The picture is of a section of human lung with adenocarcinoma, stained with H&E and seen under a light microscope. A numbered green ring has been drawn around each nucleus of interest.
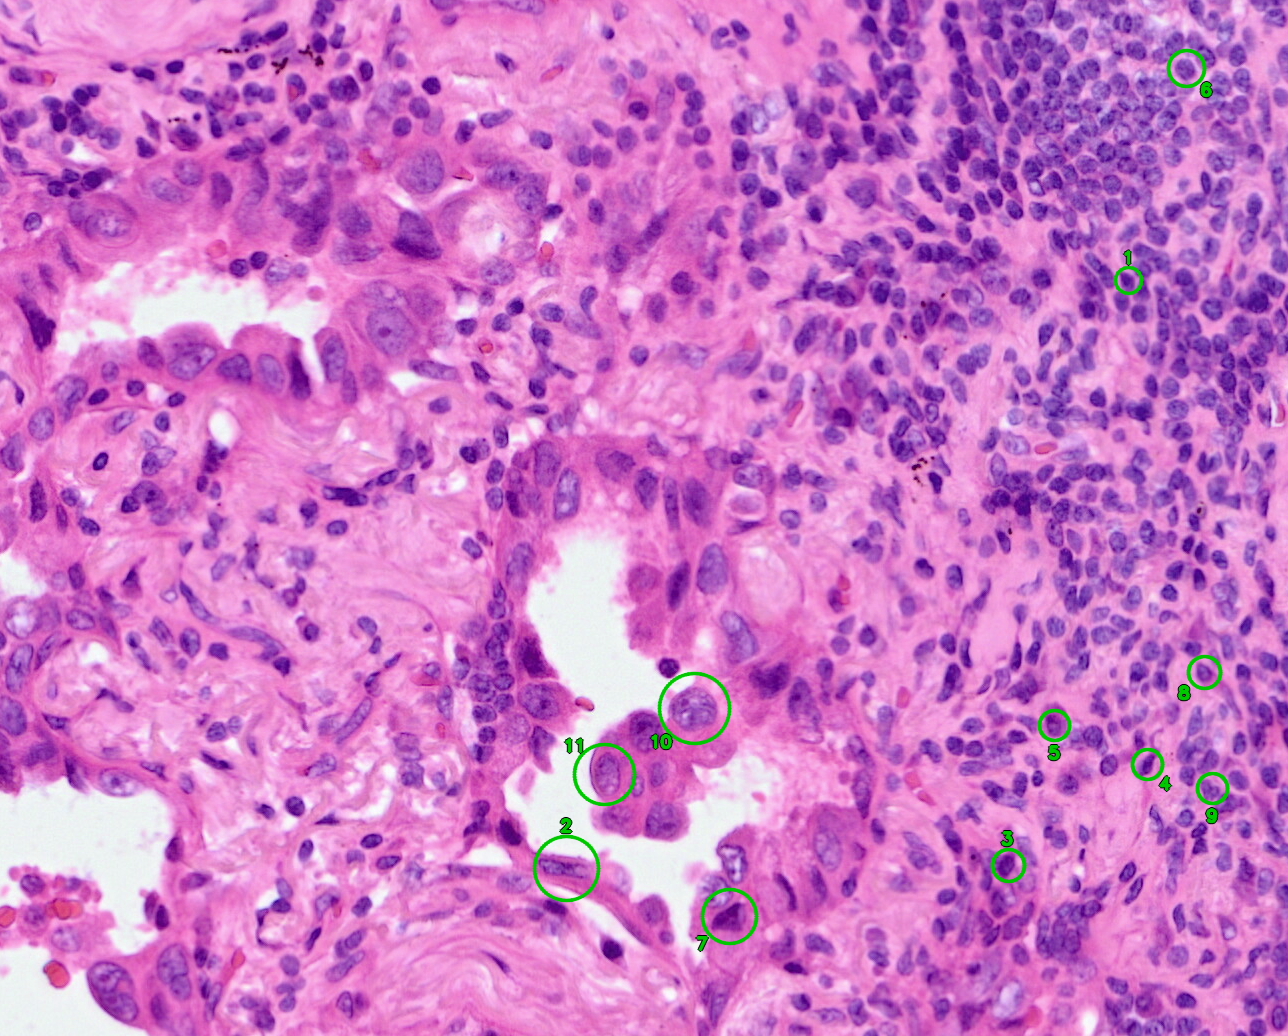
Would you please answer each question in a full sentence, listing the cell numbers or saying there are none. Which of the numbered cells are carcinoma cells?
The cells that have been numbered 2, 7, 10 and 11 are carcinoma cells.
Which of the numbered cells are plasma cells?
The cells numbered 3, 4, 5 and 8 are, by type, plasma cells.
